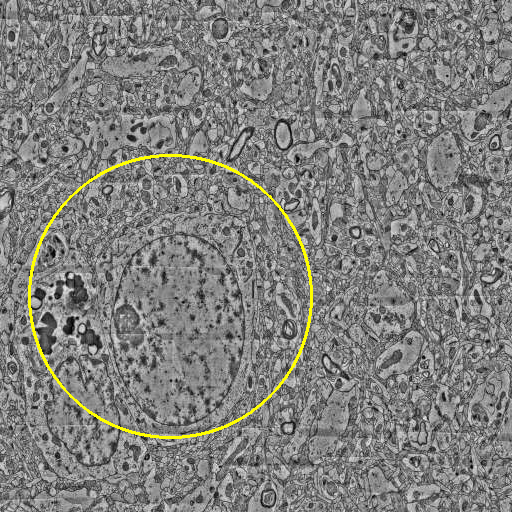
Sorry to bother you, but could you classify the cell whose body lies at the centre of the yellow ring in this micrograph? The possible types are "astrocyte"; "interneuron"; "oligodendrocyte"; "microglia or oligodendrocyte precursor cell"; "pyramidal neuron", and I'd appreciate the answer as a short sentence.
The ringed cell body is that of a pyramidal neuron.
